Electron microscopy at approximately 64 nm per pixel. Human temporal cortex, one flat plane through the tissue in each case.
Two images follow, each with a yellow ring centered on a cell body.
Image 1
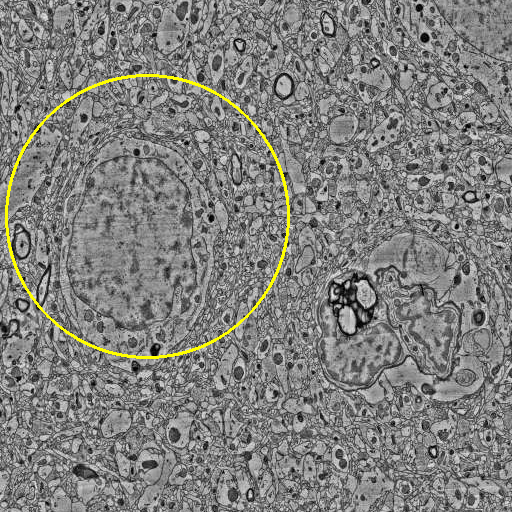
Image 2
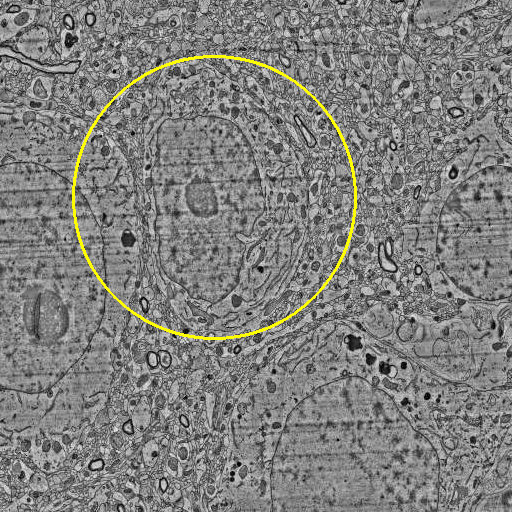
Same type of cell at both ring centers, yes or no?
yes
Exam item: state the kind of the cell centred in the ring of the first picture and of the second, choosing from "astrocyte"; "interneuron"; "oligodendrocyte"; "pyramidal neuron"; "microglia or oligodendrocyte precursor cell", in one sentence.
The second cell is an interneuron, just as the first is.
